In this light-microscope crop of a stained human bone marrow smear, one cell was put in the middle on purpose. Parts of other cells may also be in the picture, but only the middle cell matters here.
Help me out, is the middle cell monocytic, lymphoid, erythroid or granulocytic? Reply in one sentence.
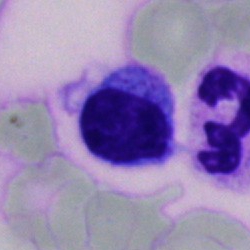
In this crop the cell in the center is part of the lymphoid lineage.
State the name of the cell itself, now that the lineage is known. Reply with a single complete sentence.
This crop's central cell is a lymphocyte.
